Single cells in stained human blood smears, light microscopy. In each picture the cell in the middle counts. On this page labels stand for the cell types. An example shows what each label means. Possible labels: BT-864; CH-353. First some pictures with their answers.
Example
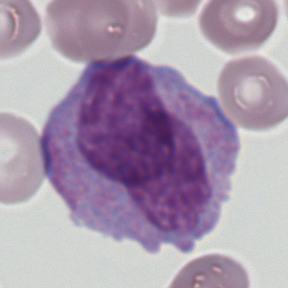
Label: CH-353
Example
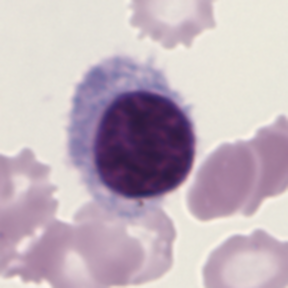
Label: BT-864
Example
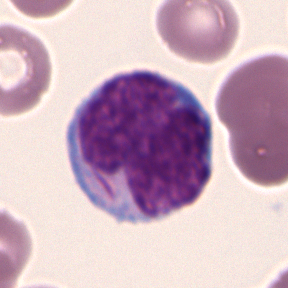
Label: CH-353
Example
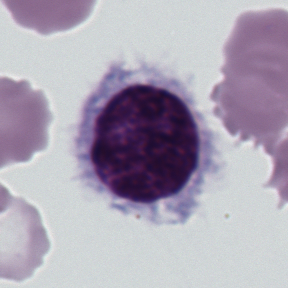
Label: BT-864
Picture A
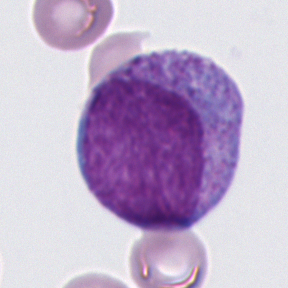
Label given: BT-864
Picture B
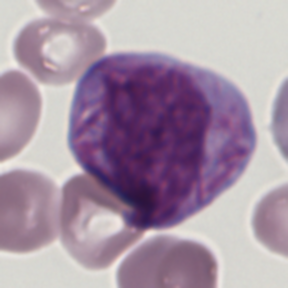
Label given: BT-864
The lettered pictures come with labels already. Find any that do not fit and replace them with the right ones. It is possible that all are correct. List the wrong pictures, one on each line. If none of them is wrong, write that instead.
A: change BT-864 to CH-353
B: change BT-864 to CH-353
